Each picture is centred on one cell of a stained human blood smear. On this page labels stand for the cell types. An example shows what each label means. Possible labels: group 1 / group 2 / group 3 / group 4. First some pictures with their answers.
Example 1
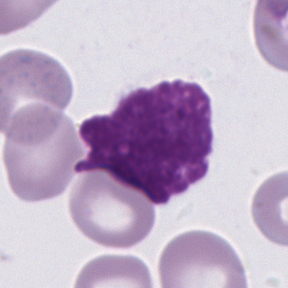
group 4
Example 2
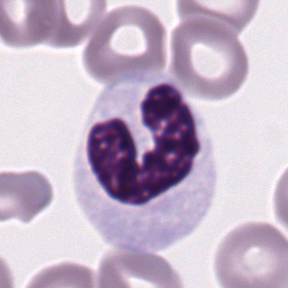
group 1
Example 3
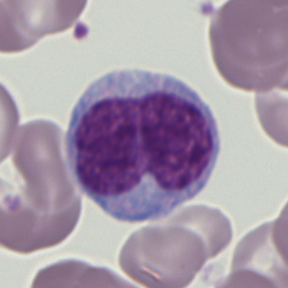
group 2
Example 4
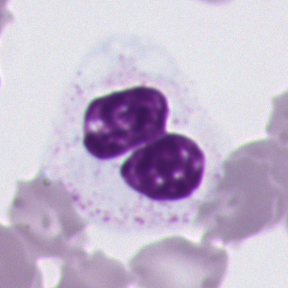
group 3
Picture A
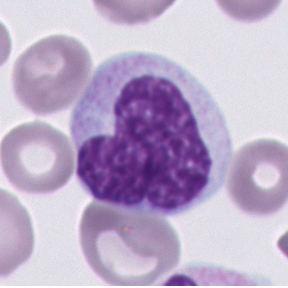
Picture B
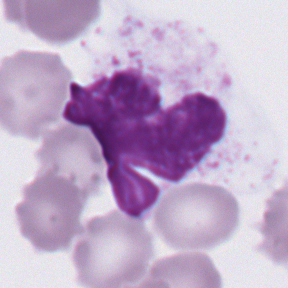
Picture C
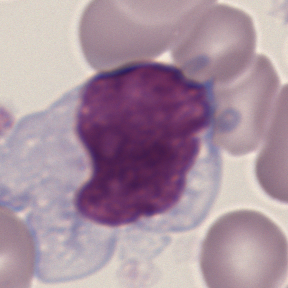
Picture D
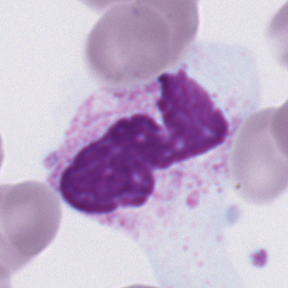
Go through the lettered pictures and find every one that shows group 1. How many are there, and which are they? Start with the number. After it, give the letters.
1: A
